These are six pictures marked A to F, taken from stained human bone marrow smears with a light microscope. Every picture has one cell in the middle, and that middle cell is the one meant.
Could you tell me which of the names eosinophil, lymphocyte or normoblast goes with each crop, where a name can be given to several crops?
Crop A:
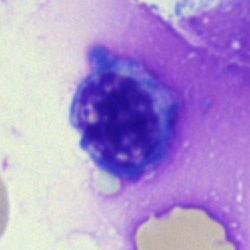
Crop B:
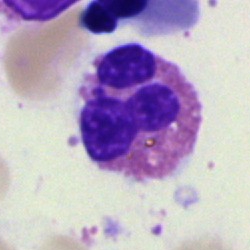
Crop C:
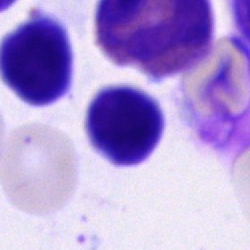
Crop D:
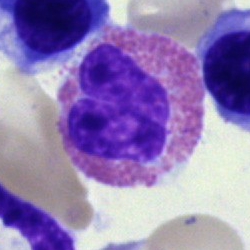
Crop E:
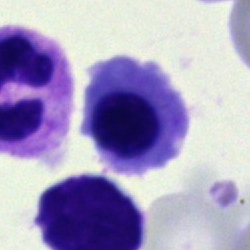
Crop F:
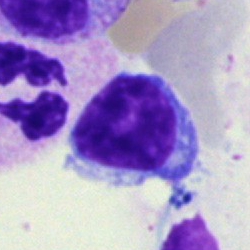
A: normoblast
B: eosinophil
C: lymphocyte
D: eosinophil
E: normoblast
F: lymphocyte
